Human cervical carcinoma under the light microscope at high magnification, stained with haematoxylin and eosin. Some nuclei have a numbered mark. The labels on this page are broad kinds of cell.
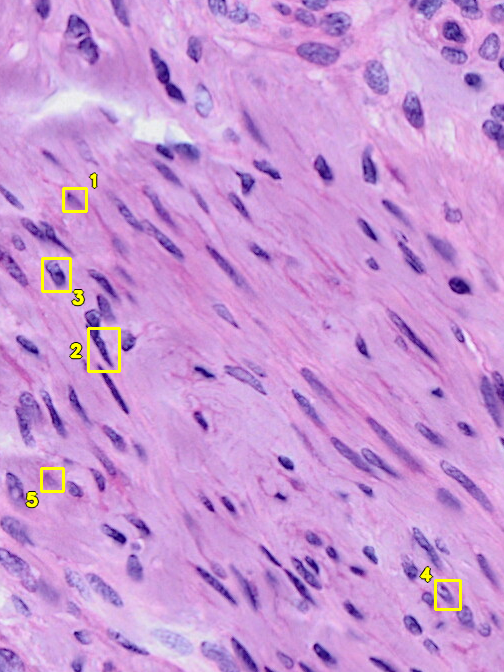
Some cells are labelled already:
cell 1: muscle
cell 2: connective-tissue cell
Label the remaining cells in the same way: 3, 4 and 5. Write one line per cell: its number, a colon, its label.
3: connective-tissue cell
4: muscle
5: muscle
